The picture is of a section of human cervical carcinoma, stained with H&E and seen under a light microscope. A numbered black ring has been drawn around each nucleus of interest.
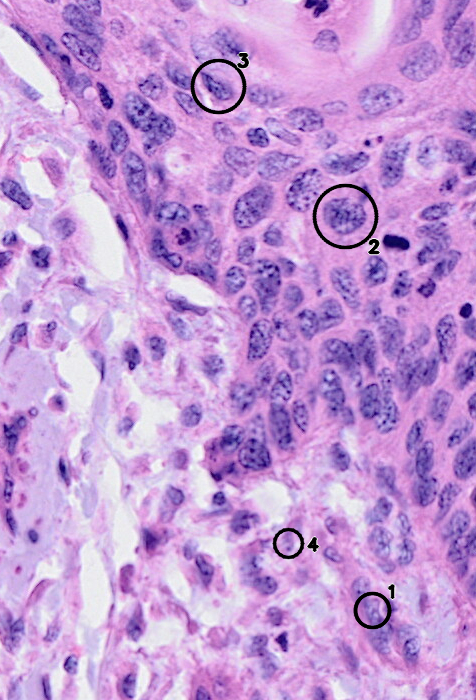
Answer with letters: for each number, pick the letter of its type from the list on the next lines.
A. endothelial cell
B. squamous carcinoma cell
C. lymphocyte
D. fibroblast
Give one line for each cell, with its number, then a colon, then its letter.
1: A
2: B
3: B
4: D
